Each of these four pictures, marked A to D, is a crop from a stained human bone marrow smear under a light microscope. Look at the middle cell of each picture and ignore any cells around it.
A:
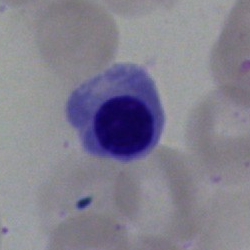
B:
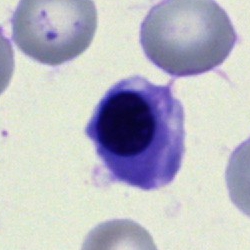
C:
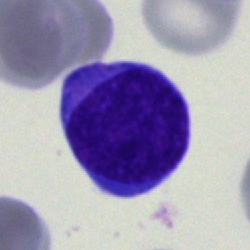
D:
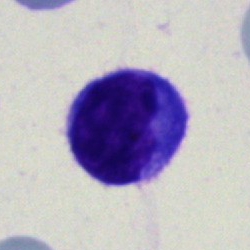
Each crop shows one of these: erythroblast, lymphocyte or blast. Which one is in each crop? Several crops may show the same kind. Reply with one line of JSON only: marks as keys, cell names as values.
{"A": "erythroblast", "B": "erythroblast", "C": "blast", "D": "lymphocyte"}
